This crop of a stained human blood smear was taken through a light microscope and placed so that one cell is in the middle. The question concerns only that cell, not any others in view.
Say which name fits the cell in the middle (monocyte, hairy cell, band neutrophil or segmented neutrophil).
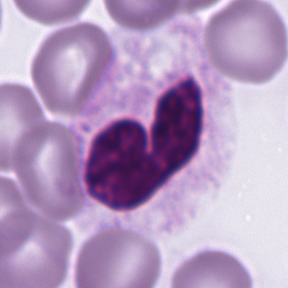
band neutrophil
